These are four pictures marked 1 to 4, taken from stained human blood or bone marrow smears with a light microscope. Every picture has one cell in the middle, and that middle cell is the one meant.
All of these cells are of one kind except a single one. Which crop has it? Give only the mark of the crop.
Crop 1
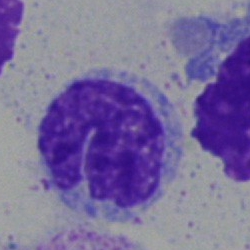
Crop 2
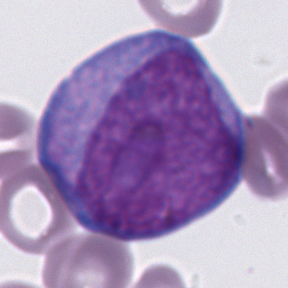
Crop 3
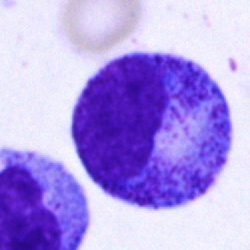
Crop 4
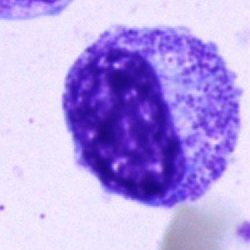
1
